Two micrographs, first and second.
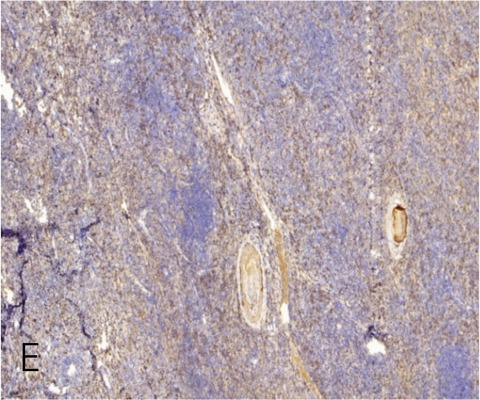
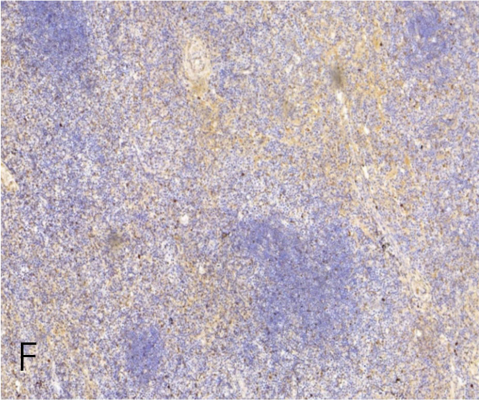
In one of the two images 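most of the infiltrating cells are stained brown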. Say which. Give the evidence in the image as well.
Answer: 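The first image. Second image: the infiltrate is mostly blue-grey with only faint brown. First image: brown stain spreads widely across the infiltrate, sparing a few blue nodular areas.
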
